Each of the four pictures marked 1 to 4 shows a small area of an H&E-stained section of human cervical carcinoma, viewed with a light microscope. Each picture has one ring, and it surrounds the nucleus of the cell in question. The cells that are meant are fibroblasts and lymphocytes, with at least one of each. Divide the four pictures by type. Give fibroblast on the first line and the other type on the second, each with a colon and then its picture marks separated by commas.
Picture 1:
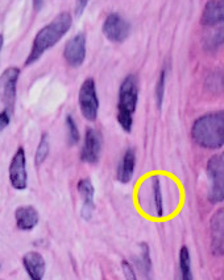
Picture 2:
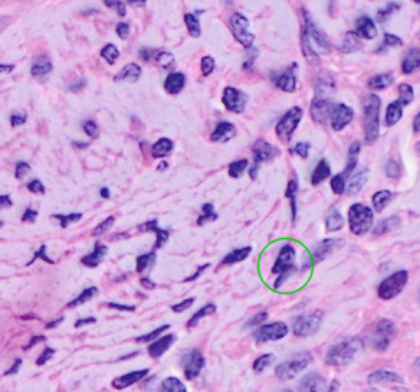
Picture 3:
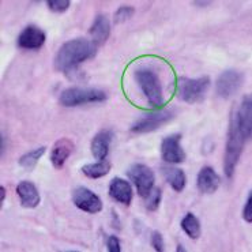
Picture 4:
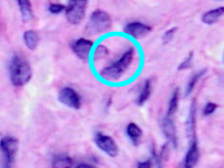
fibroblast: 1, 3, 4
lymphocyte: 2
